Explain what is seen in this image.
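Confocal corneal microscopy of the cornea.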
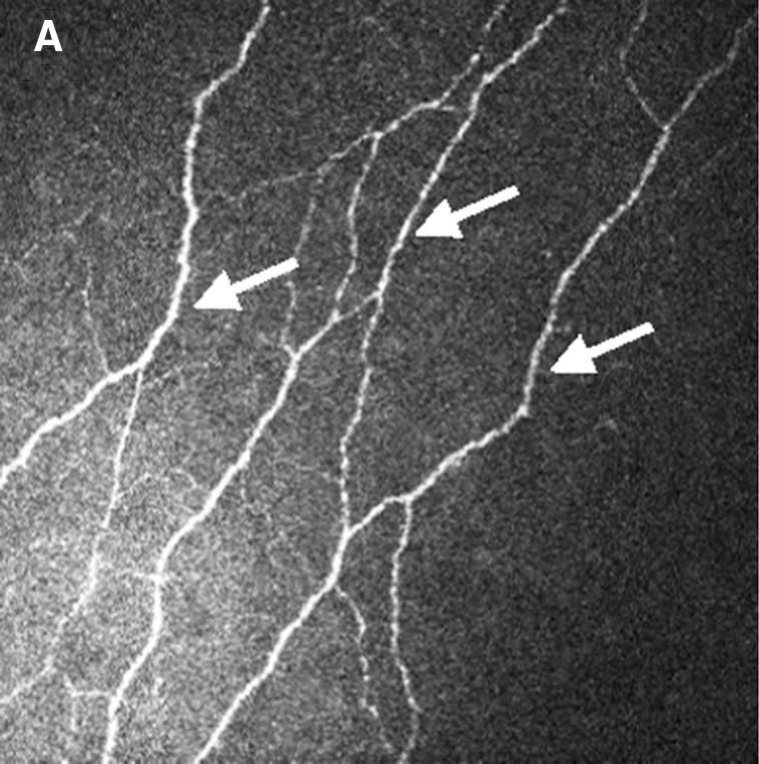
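Several long, thin, beaded fibres run obliquely and roughly in parallel across the field. Some fibres give off thinner branches that join neighbouring fibres. The background is granular grey, brighter toward the left edge and darker toward the right. Few small bright bodies are seen between the fibres.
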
